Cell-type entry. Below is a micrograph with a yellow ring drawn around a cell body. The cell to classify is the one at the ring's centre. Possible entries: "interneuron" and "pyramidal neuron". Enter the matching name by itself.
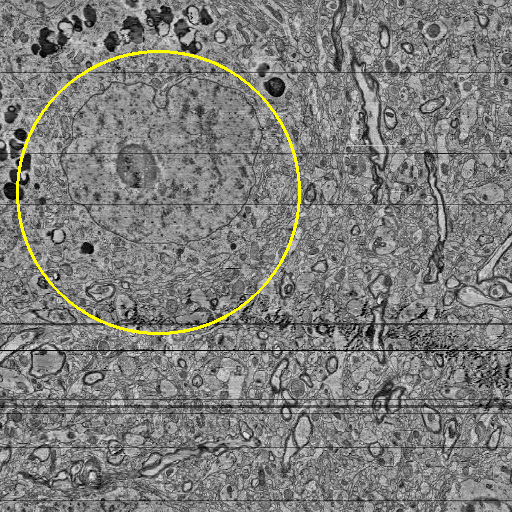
pyramidal neuron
